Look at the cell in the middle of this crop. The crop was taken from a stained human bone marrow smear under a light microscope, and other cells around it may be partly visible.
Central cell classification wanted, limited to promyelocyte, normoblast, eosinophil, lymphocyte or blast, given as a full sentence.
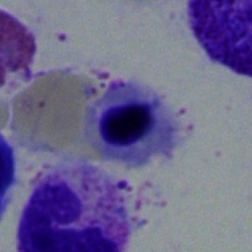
The centrally positioned cell in the crop represents a normoblast.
